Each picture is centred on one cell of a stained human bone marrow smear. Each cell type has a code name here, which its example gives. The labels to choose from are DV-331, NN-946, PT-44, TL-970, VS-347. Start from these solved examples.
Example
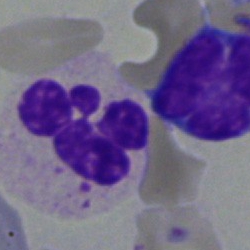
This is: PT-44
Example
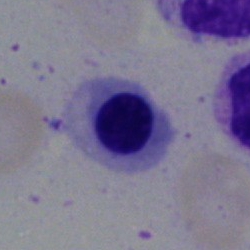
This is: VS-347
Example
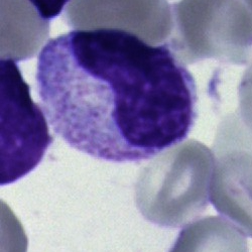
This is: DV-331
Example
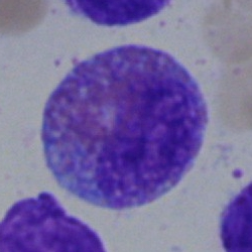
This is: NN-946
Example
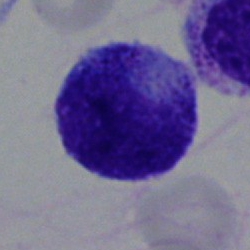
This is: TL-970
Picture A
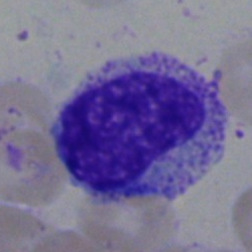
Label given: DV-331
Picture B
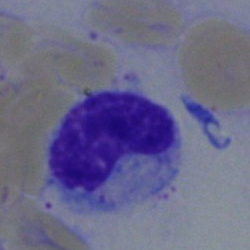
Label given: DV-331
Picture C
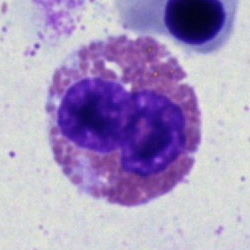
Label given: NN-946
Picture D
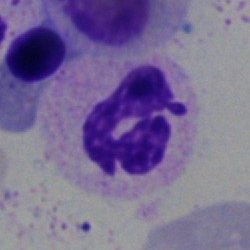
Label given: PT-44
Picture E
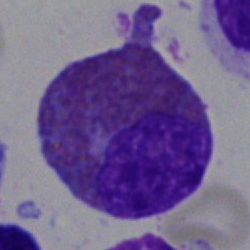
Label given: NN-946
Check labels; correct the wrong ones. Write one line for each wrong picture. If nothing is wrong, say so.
Every label is right.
